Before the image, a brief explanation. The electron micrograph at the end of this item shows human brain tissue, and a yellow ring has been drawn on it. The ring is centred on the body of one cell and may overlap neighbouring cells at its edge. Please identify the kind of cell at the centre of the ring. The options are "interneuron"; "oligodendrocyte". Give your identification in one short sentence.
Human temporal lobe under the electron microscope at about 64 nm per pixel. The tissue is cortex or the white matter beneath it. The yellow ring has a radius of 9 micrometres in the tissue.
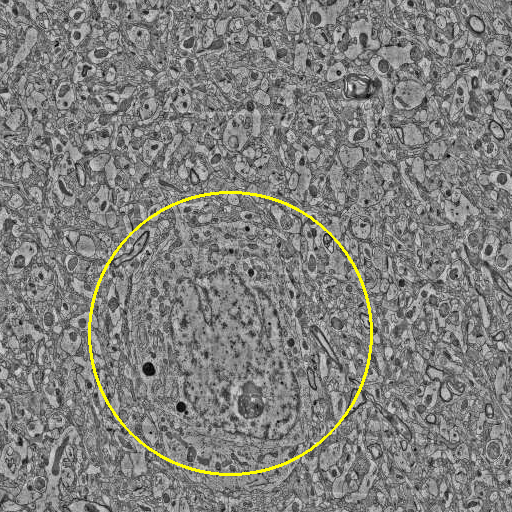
The ring has been placed around an interneuron.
